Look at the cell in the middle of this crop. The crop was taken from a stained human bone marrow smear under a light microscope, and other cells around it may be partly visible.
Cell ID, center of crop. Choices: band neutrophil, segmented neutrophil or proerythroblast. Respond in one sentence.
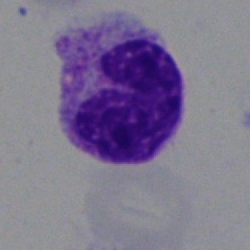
To answer, the cell in the center of the crop is a band neutrophil.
